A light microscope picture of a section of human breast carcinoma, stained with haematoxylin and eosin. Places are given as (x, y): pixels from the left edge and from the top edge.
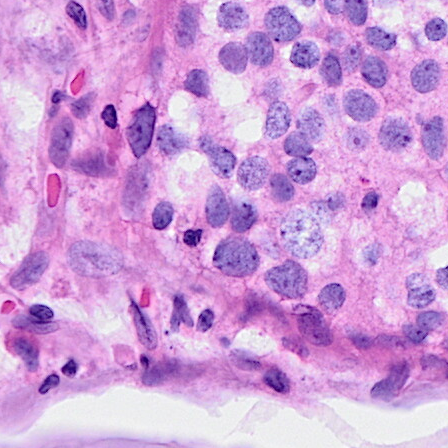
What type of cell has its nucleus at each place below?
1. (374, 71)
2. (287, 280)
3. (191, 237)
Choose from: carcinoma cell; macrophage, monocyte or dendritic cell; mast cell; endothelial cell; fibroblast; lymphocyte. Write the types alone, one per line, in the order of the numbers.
carcinoma cell
carcinoma cell
lymphocyte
